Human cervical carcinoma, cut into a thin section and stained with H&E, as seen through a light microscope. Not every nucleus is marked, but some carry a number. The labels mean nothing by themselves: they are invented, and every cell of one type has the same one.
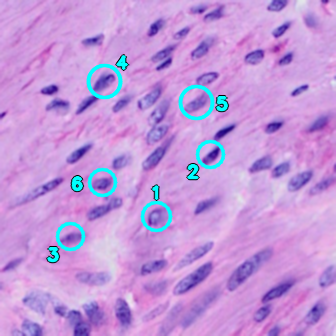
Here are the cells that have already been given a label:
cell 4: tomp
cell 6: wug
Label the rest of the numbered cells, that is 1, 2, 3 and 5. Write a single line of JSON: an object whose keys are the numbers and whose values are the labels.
{"1": "wug", "2": "tomp", "3": "wug", "5": "wug"}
